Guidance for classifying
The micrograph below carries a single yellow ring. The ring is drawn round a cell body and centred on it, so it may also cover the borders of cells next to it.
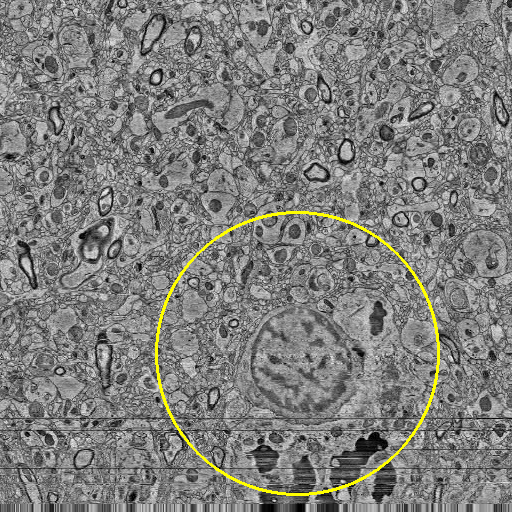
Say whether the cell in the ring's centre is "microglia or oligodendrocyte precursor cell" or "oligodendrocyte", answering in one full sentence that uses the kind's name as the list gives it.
Within the yellow ring, an oligodendrocyte is the cell whose body sits at the centre.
